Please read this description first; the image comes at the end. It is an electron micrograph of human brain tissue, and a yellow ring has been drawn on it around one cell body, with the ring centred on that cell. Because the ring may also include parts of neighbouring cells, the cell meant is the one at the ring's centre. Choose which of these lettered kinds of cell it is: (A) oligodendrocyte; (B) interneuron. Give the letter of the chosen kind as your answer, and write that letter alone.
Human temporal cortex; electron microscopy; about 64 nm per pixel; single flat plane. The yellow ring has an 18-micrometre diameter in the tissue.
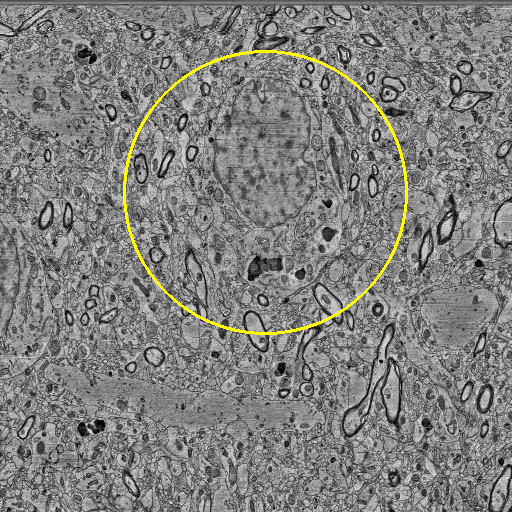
B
